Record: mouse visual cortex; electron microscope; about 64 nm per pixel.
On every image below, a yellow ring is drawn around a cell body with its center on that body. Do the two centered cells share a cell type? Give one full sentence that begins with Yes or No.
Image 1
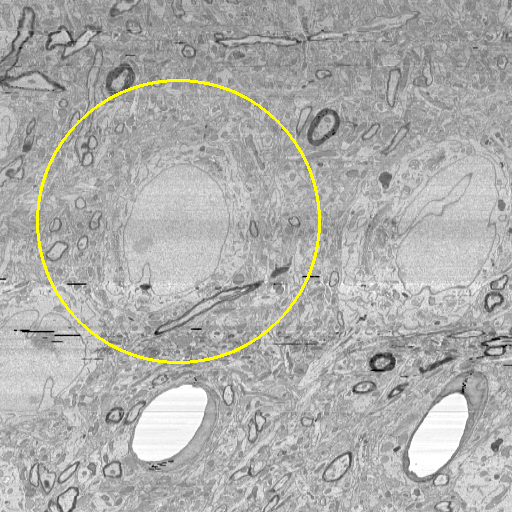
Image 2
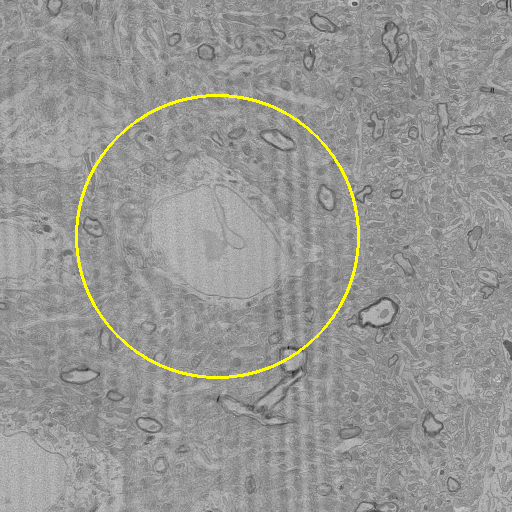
Yes, the centered cells in the two images are of a single cell type.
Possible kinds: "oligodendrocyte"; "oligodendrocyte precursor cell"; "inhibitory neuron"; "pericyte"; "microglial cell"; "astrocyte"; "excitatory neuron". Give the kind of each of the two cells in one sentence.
Both cells are the same kind, each one being an excitatory neuron.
